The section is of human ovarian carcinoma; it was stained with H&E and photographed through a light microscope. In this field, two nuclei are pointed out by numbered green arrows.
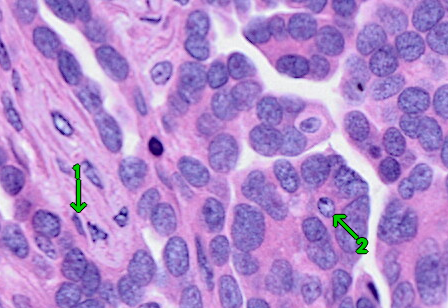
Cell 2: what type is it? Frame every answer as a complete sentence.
Cell 2 in the field of view is a macrophage or monocyte.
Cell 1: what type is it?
In this section, the cell numbered 1 is a fibroblast.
